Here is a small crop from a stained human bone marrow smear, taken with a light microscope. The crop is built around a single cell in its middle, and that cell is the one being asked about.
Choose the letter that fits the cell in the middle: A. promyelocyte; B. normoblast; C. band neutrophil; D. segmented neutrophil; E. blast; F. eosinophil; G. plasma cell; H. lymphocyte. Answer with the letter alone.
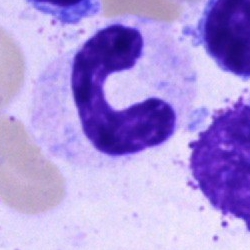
C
